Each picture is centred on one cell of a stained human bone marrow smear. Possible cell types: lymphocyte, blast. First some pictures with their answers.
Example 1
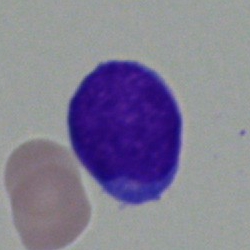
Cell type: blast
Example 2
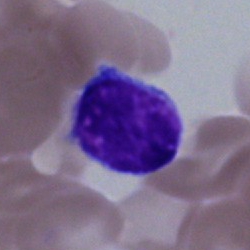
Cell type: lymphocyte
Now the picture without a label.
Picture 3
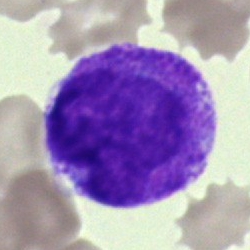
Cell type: blast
